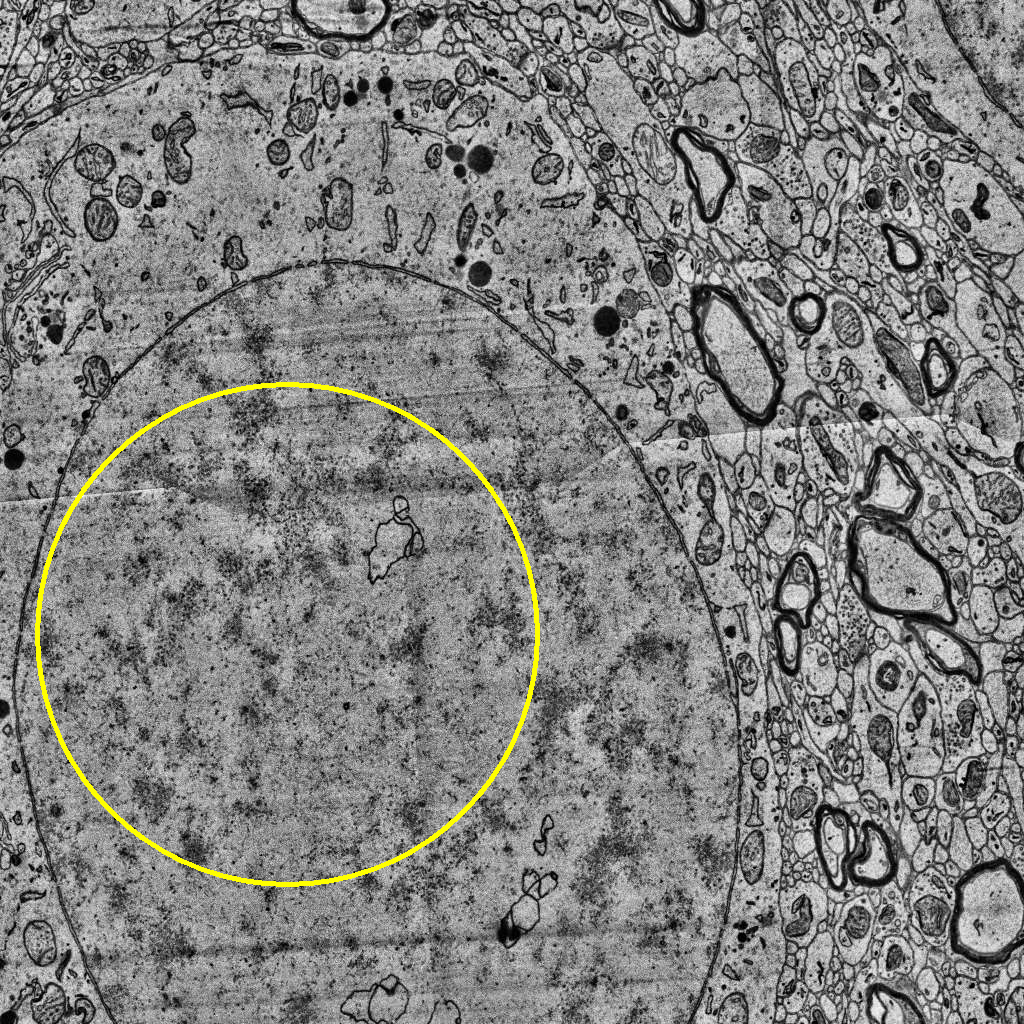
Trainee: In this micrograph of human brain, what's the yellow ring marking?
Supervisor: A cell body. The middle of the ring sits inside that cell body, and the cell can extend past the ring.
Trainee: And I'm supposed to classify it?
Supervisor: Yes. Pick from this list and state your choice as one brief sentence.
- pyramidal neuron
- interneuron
The cell at the ring's center is a pyramidal neuron.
